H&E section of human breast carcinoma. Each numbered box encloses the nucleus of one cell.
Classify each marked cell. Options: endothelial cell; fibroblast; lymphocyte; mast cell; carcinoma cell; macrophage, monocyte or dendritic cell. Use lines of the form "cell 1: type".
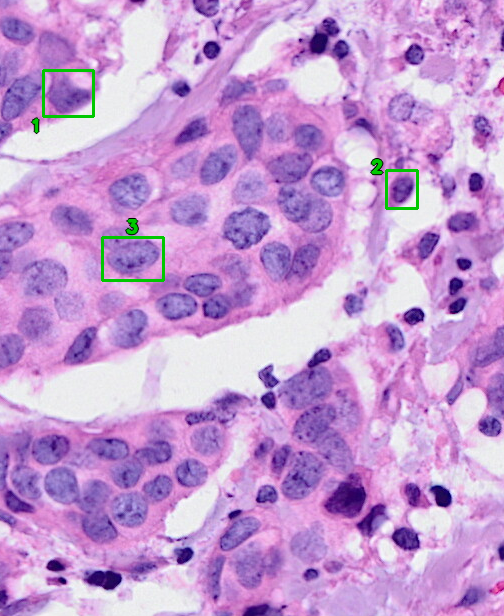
cell 1: carcinoma cell
cell 2: macrophage, monocyte or dendritic cell
cell 3: carcinoma cell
